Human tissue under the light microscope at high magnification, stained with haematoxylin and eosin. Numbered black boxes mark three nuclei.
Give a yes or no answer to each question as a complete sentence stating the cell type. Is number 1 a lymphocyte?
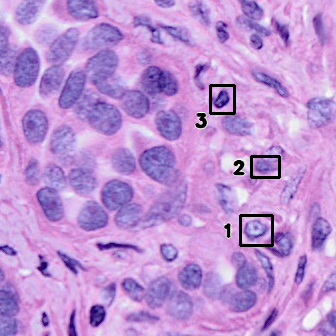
No, the cell under number 1 is a fibroblast, not a lymphocyte.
